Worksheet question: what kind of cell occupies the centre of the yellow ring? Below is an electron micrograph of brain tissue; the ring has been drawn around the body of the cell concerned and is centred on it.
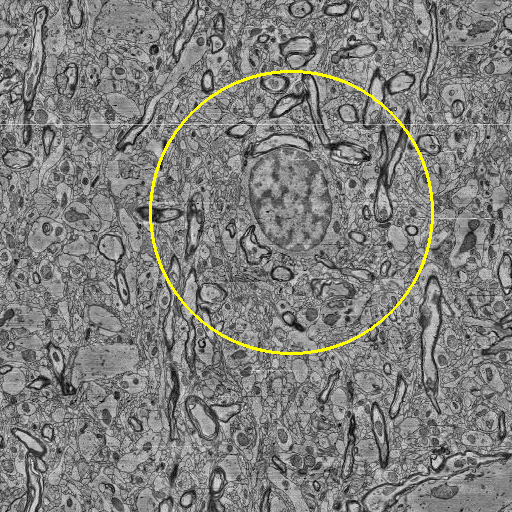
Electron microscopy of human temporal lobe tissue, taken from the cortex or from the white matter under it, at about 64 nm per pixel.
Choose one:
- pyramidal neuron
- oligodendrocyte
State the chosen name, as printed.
oligodendrocyte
